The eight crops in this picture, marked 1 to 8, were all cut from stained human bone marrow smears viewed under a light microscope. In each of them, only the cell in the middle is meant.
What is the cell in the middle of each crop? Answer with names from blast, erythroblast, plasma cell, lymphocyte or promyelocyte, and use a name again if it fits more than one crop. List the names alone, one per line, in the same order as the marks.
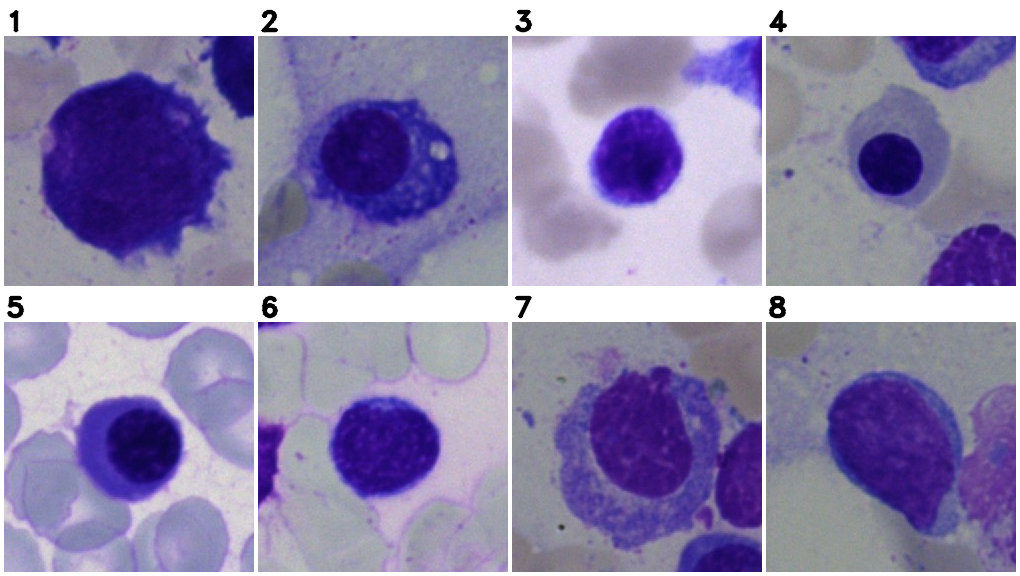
blast
plasma cell
lymphocyte
erythroblast
erythroblast
lymphocyte
plasma cell
blast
